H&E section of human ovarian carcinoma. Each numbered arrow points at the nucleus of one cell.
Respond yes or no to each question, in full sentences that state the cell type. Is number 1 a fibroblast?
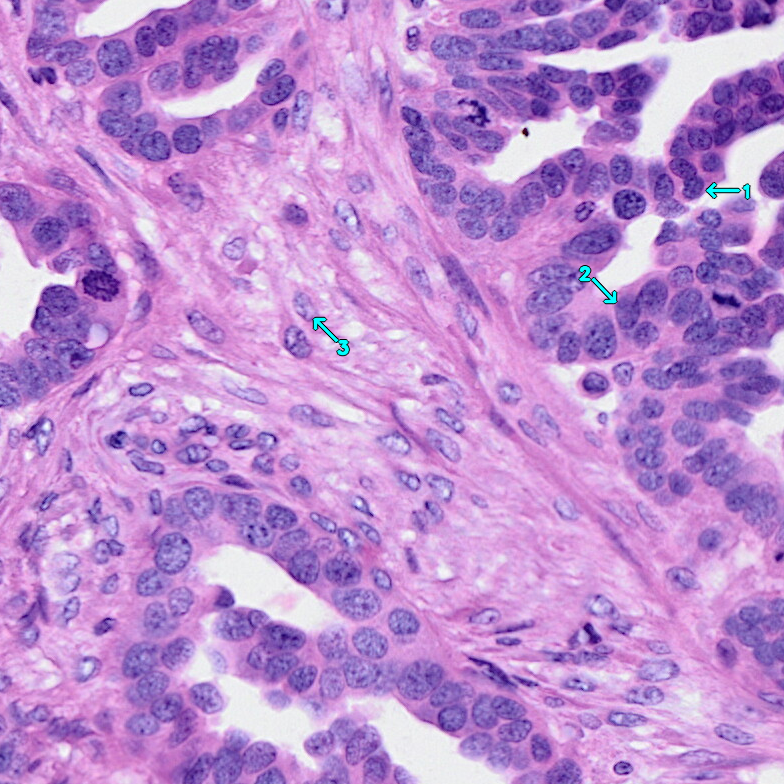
No, cell 1 has been misnamed; it is a carcinoma cell, not a fibroblast.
